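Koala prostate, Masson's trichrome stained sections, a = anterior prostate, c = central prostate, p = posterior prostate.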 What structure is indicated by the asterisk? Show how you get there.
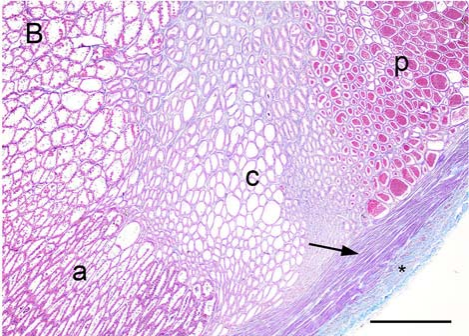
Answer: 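The asterisk lies in a band of dense fibrous tissue along the outer edge of the section. This outer band contains blue-green stained fibres at its surface. The band encloses the glandular tissue.
Conclusion: capsule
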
